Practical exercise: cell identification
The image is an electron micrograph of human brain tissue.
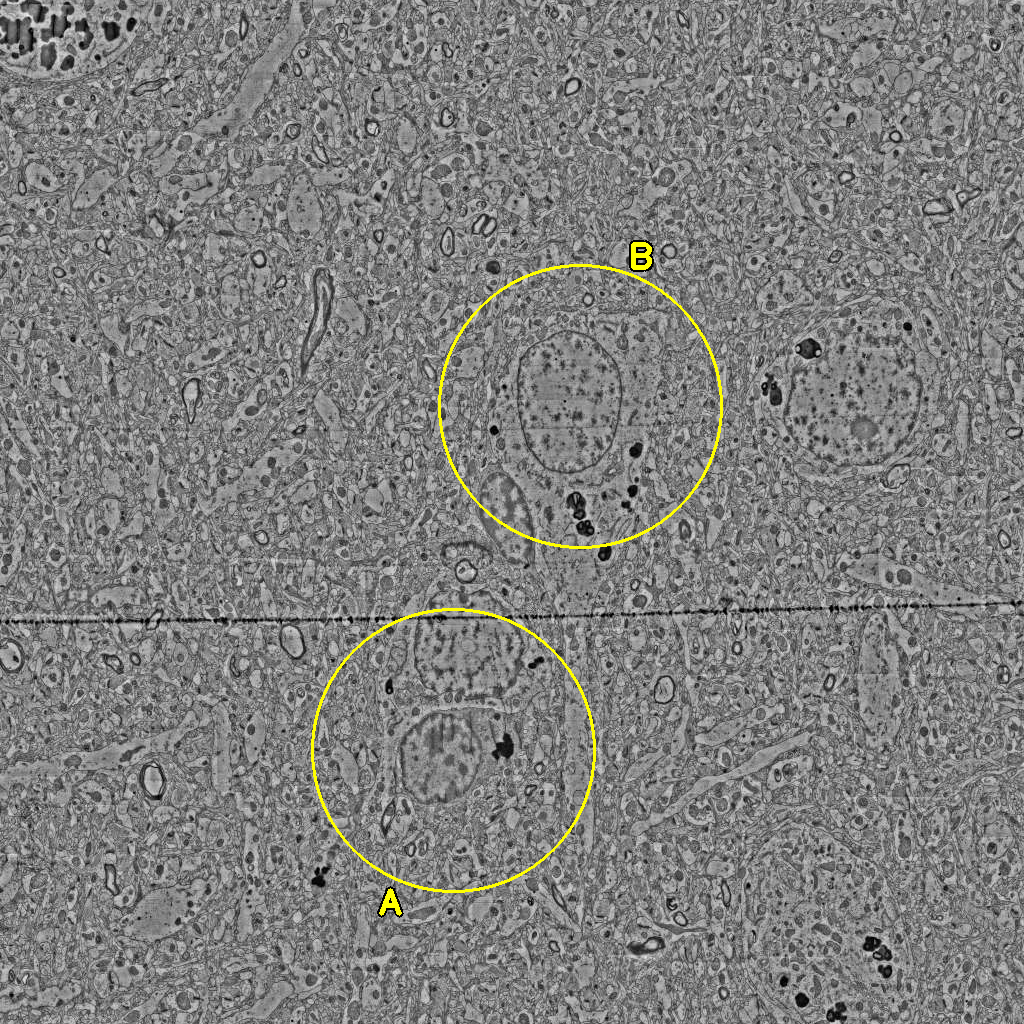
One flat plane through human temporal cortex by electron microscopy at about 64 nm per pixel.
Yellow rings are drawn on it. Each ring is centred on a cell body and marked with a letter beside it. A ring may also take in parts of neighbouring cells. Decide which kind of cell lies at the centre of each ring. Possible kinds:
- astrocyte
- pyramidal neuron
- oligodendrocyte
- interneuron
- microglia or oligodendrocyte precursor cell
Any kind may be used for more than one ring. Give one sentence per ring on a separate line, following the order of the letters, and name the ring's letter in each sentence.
The cell in the middle of ring A is an oligodendrocyte.
The cell in the middle of ring B is a pyramidal neuron.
